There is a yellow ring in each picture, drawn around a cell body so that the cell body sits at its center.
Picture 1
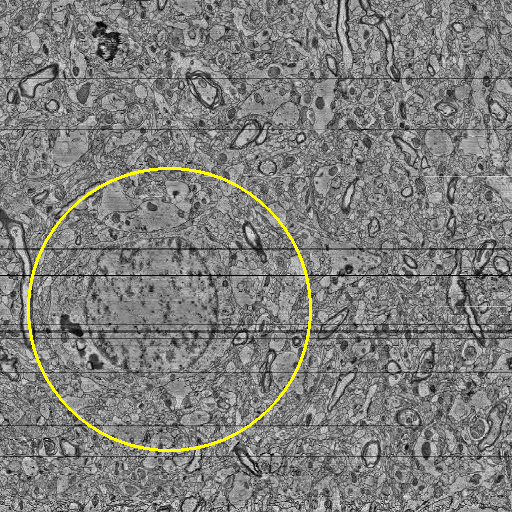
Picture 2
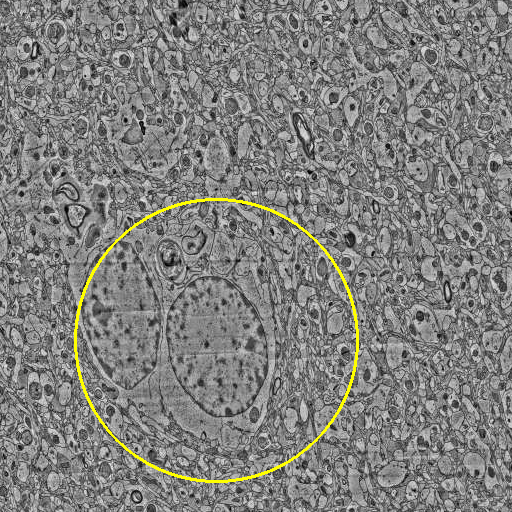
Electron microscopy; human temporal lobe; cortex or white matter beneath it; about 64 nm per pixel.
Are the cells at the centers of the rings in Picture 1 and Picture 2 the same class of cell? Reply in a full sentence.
No, the two cells are two classes of cell.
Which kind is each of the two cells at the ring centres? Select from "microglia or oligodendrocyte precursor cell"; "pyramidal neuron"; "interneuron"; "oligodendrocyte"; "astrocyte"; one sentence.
The cell at the centre of the ring is an interneuron in the first picture and an astrocyte in the second.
